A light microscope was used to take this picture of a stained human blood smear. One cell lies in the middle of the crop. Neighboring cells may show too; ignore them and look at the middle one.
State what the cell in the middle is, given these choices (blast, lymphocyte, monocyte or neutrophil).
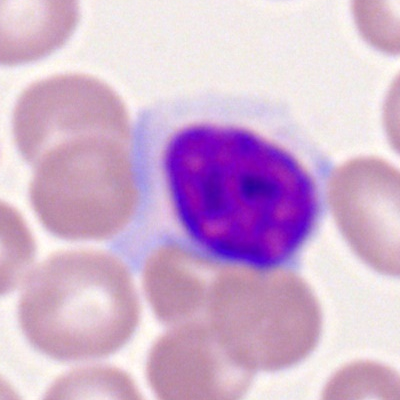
lymphocyte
